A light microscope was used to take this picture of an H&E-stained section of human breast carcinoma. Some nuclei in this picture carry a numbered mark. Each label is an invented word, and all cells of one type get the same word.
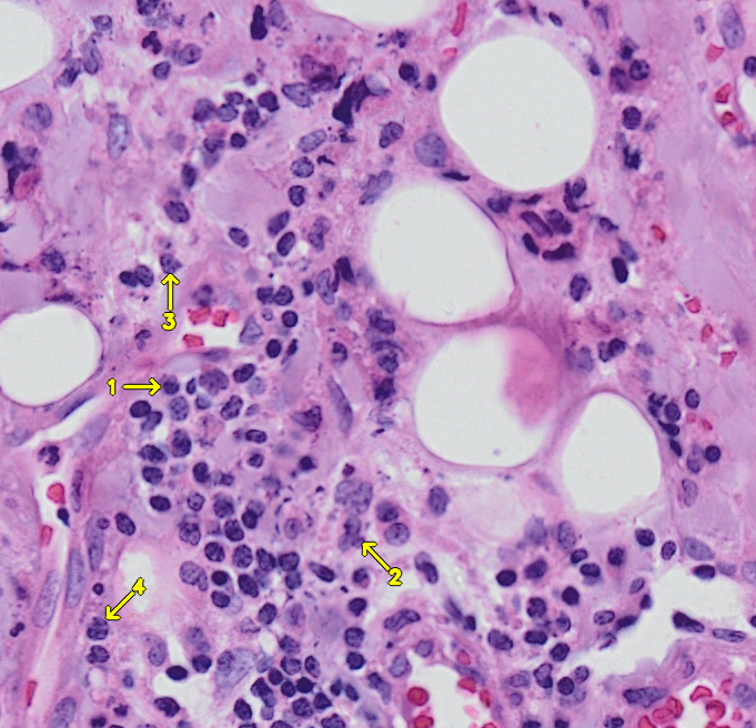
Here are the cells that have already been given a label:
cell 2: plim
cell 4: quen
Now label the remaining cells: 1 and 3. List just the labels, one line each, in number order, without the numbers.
quen
quen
